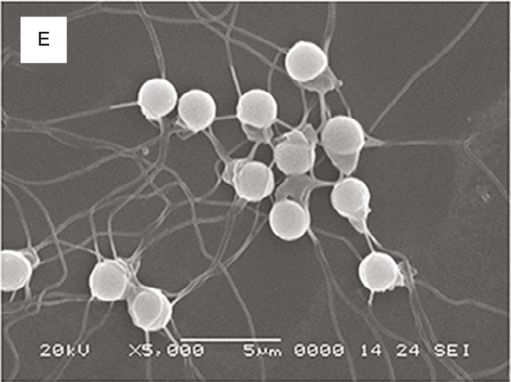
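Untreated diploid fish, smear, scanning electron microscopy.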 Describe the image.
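Spermatozoa seen from the surface, each with a smooth, rounded, ball-shaped head and a small collar-like piece at one side from which a long thin flagellum extends. The heads lie in a loose cluster in the middle and a few apart at the lower left, while the flagella run far beyond them and cross one another over the flat background.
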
